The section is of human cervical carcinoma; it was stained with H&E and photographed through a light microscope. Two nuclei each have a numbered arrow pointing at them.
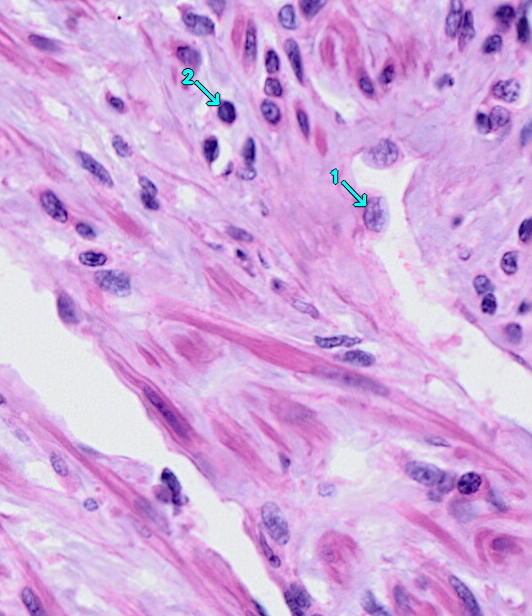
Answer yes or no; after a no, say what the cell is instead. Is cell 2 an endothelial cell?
No, it is a lymphocyte.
